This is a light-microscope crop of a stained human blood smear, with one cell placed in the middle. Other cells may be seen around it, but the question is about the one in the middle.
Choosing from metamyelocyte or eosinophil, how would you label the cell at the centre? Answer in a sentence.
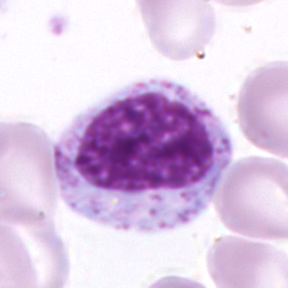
The cell positioned in the middle of the field is a metamyelocyte.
